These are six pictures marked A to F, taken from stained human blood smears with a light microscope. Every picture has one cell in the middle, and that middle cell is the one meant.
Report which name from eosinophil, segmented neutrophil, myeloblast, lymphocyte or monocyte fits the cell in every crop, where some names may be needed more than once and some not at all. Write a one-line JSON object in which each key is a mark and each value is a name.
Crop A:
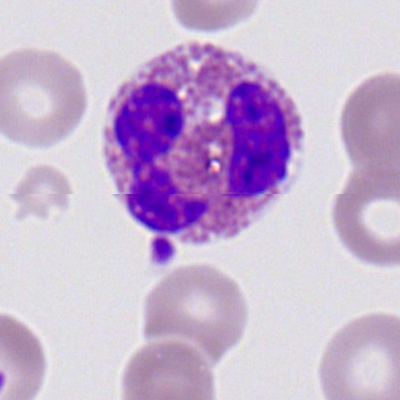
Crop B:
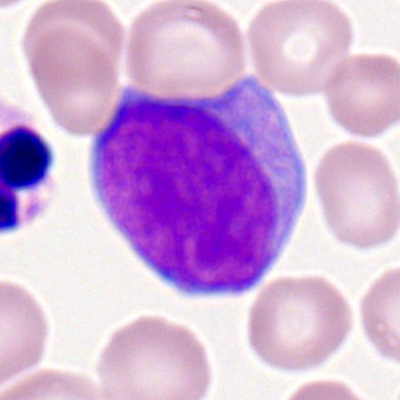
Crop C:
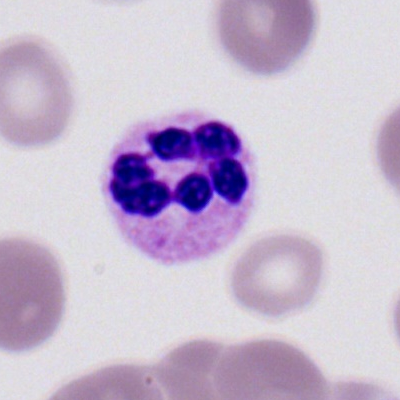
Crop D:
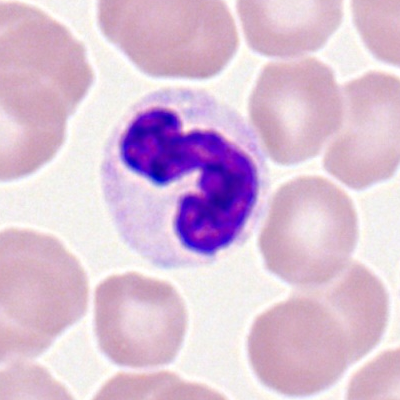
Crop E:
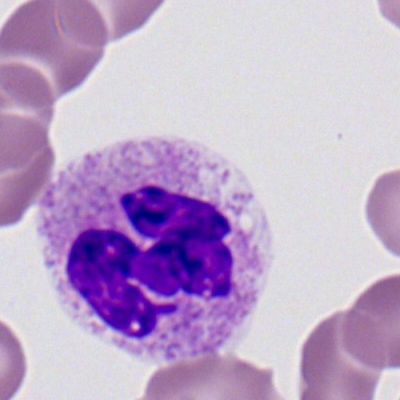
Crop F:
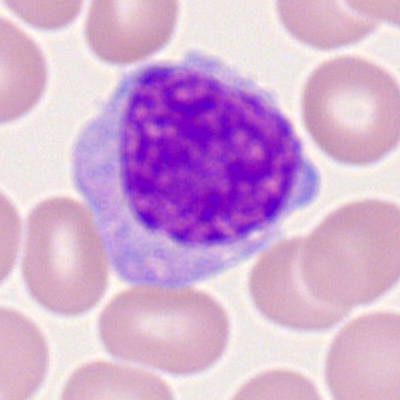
{"A": "eosinophil", "B": "myeloblast", "C": "segmented neutrophil", "D": "segmented neutrophil", "E": "segmented neutrophil", "F": "monocyte"}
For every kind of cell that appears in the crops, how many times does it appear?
segmented neutrophil: 3
eosinophil: 1
myeloblast: 1
monocyte: 1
